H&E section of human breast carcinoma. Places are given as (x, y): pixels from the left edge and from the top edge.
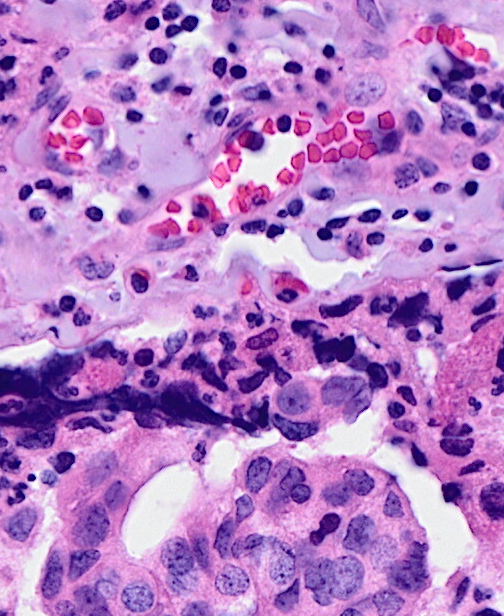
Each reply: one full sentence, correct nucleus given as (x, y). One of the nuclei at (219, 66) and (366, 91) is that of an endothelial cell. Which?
The nucleus that belongs to an endothelial cell sits at (366, 91).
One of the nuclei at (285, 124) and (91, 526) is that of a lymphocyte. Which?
Of the two candidate nuclei, the one at (285, 124) is that of a lymphocyte.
